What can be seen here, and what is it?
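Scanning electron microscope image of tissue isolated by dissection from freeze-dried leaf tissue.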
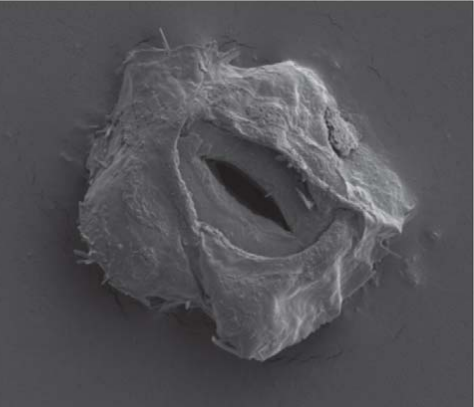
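Two curved guard cells surround a central elongated pore that is partly open. The adjoining tissue around the pair is wrinkled, folded and torn at its margins. Fine fibrous strands project from the edges onto the flat background.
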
